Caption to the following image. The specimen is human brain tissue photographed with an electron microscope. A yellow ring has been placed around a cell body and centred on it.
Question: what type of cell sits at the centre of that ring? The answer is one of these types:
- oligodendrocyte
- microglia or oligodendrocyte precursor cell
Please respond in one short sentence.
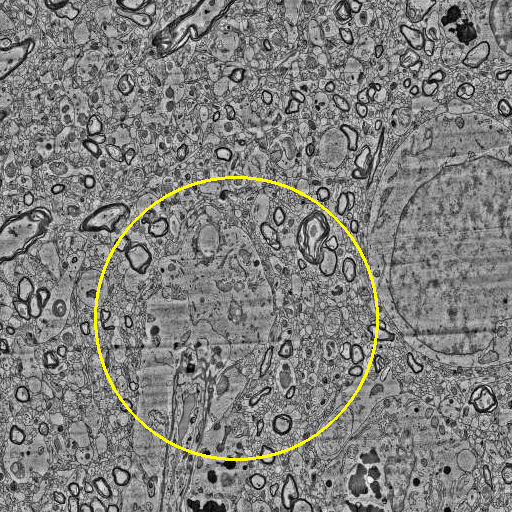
The ring surrounds the cell body of a microglial cell or oligodendrocyte precursor cell.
